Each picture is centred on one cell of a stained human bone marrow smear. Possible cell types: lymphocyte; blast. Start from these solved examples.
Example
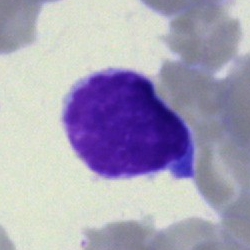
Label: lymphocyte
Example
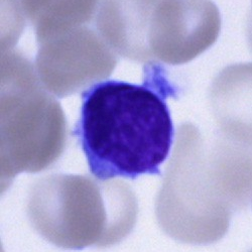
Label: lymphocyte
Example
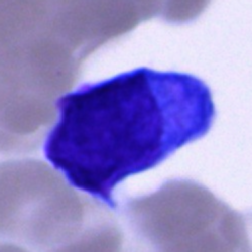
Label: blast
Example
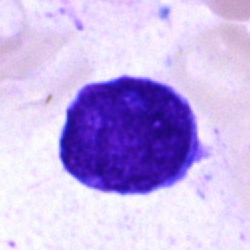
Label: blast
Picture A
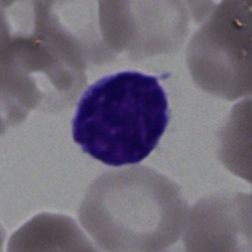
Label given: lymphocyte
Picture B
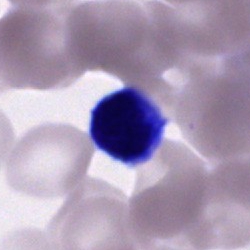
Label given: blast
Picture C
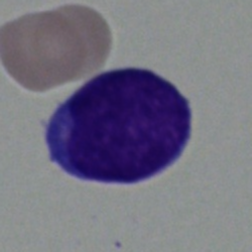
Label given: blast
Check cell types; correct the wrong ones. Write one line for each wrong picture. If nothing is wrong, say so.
Wrong: B (blast); correct: lymphocyte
